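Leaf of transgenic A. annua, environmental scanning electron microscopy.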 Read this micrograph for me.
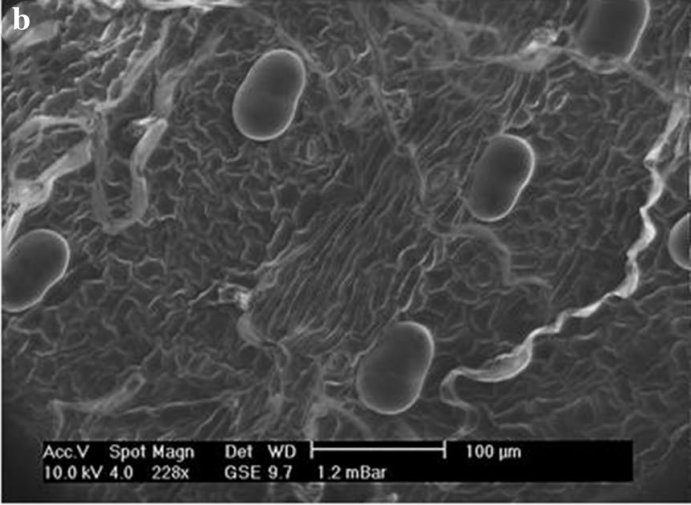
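The leaf surface is covered by finely wrinkled epidermal cells, with a band of long parallel ridged cells running through the middle. Several smooth, oval bodies with a shallow waist, giving them a two-lobed look, sit raised on this surface. Long, flattened, twisted ribbons wind over the surface between them. The oval bodies and the twisted ribbons are trichomes standing on the leaf epidermis.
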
